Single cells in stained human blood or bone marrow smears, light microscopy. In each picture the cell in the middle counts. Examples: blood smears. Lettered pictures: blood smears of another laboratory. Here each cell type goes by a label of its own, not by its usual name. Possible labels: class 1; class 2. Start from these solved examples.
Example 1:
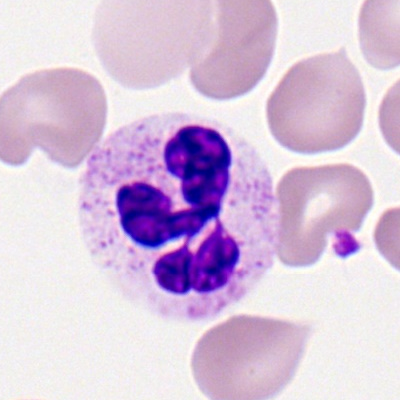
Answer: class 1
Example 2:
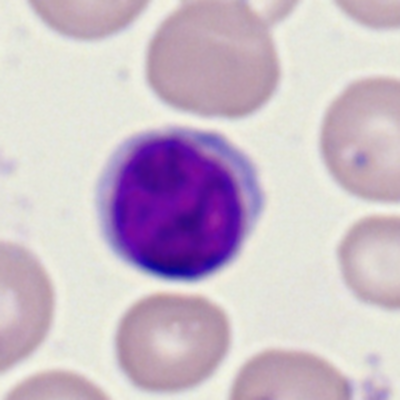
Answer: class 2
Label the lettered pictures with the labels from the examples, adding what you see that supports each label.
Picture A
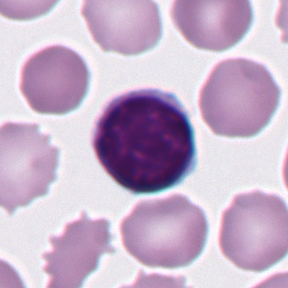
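Answer: class 2. Only a very thin rim of cytoplasm shows around the nucleus.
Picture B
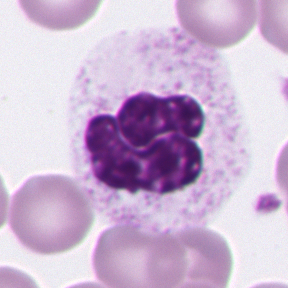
Answer: class 1. The cytoplasm is abundant and very pale.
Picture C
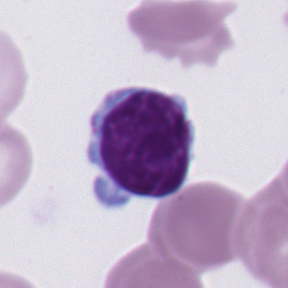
Answer: class 2. The cytoplasm forms a thin rim that is widest on the left side of the cell.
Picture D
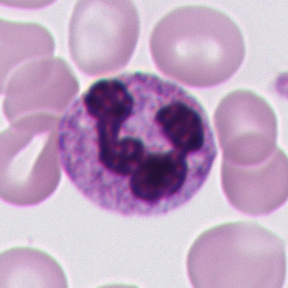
Answer: class 1. The cytoplasm is plentiful and pale pinkish-lilac.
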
